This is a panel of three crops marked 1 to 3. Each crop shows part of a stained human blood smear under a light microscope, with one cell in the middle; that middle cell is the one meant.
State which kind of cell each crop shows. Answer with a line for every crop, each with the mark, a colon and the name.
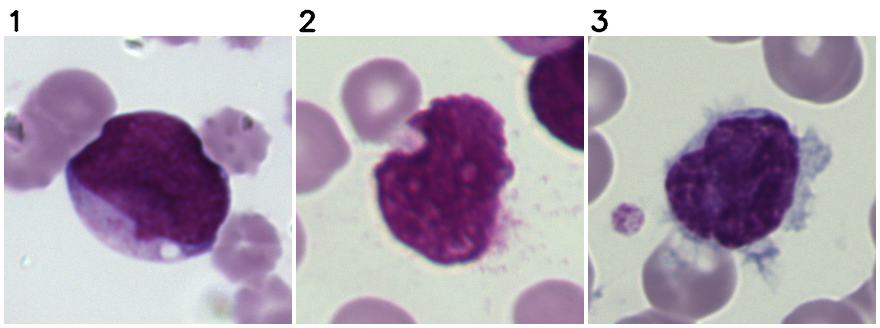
1: myeloblast
2: smudge cell
3: hairy cell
